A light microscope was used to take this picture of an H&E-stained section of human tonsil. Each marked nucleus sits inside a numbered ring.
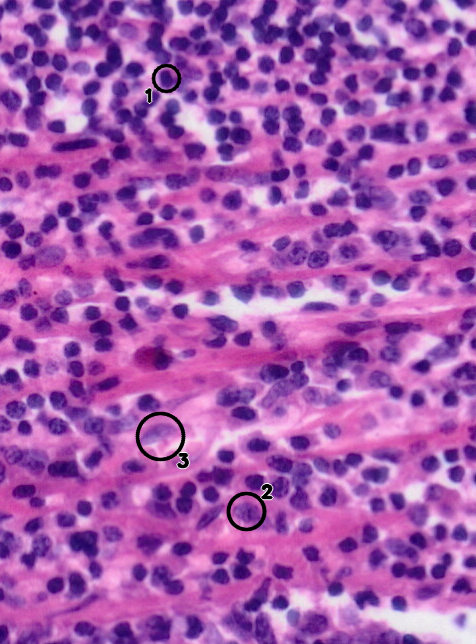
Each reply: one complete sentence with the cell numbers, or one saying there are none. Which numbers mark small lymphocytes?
Cell 1 is a small lymphocyte and is the only numbered cell of that kind.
